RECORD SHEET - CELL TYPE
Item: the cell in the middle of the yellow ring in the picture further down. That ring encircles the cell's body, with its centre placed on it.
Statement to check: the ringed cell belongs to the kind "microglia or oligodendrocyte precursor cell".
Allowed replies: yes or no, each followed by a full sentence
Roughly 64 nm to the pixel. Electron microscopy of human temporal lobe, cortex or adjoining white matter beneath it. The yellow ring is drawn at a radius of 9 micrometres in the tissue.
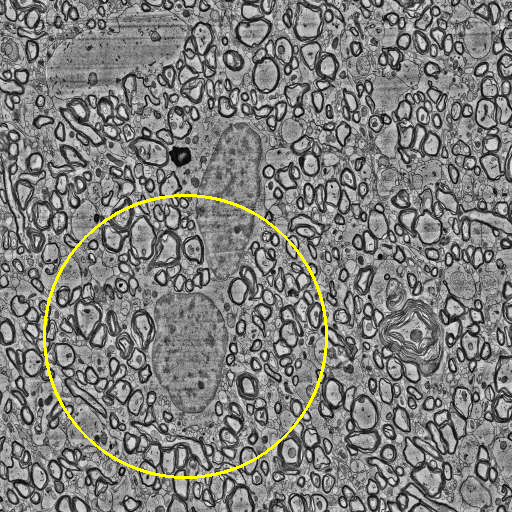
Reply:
No, the cell held at the centre of the ring in the picture is of a different kind.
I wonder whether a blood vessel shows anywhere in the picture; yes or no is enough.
No, the image shows no blood vessel.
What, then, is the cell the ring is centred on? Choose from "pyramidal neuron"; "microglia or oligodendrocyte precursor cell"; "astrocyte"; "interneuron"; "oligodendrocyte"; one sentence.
It is an oligodendrocyte at the centre of the ring.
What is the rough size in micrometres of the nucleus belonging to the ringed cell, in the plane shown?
In this plane, the nucleus is roughly 8 by 6 micrometres.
